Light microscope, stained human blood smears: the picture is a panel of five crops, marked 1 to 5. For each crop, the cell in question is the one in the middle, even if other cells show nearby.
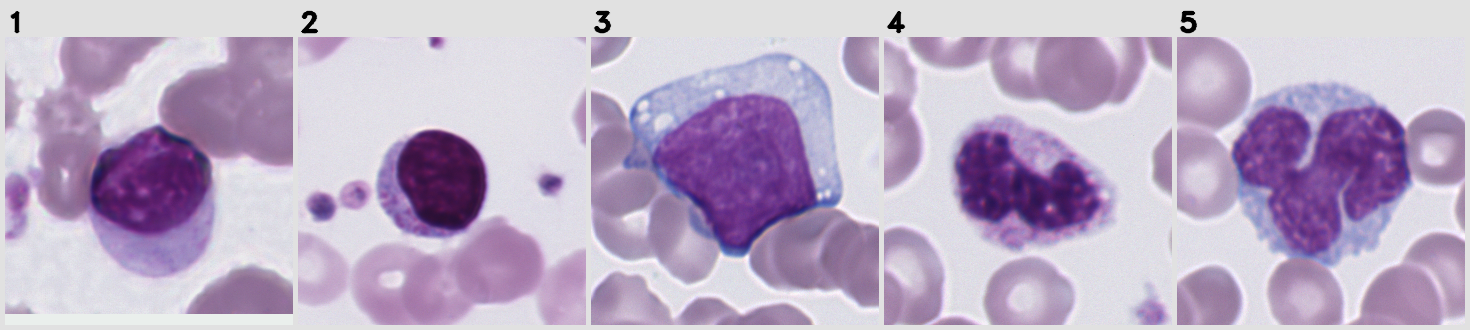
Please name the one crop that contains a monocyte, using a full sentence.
Crop 5, of the crops presented, is the one showing a monocyte.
